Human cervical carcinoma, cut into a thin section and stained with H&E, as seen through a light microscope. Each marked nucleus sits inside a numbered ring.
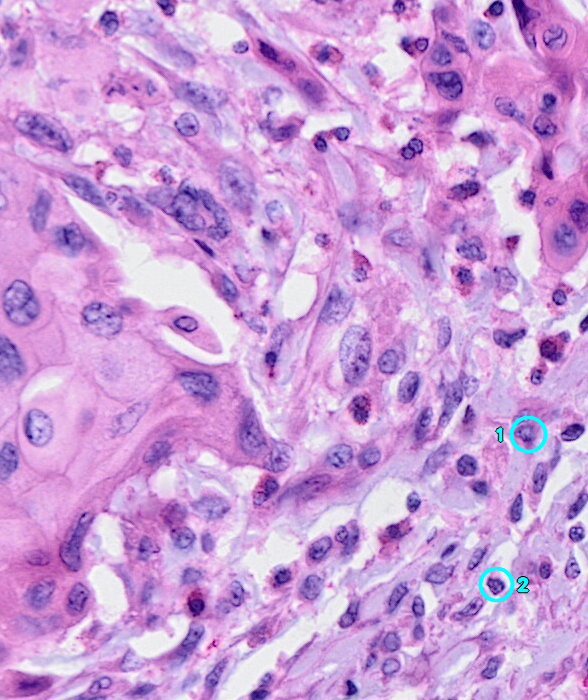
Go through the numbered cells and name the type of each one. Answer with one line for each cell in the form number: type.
1: endothelial cell
2: lymphocyte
